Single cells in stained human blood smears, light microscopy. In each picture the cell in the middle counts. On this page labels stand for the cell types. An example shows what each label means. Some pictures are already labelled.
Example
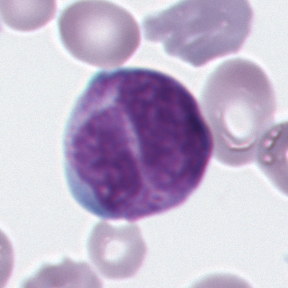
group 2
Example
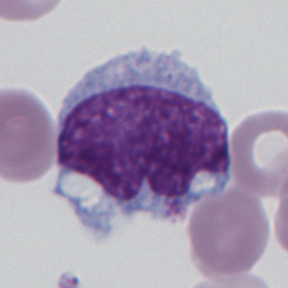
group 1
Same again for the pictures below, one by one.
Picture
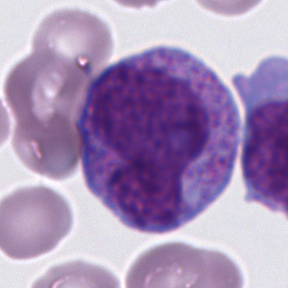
group 2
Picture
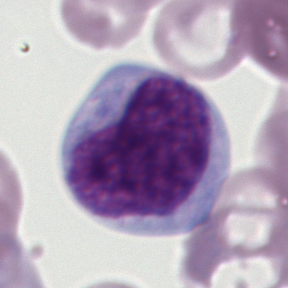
group 1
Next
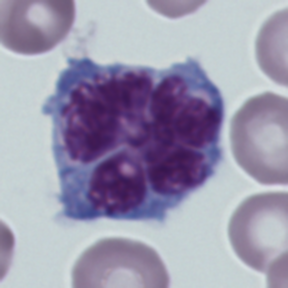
group 1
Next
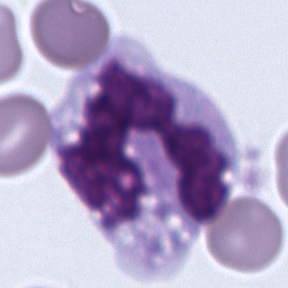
group 1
